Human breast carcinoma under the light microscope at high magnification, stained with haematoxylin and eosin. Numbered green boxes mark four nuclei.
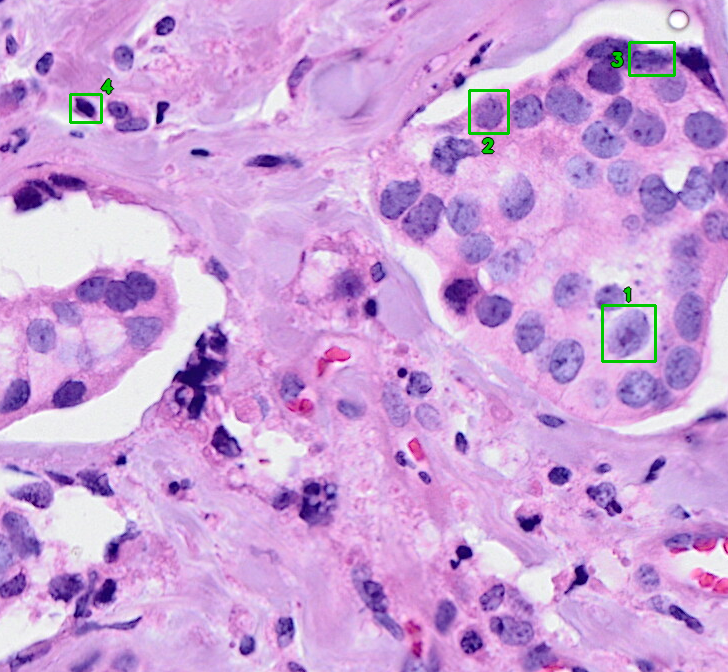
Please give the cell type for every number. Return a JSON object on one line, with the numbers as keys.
{"1": "carcinoma cell", "2": "carcinoma cell", "3": "carcinoma cell", "4": "lymphocyte"}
